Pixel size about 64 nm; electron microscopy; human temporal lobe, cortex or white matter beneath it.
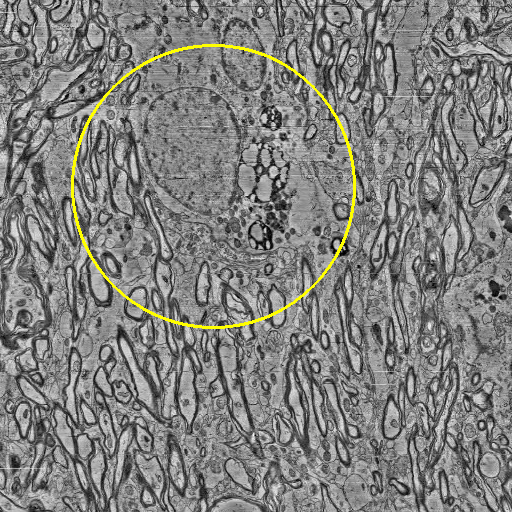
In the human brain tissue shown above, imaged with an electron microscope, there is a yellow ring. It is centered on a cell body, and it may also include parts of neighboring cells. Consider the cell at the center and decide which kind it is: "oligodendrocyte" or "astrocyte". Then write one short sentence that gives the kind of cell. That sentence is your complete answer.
This centered cell body is that of an astrocyte.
